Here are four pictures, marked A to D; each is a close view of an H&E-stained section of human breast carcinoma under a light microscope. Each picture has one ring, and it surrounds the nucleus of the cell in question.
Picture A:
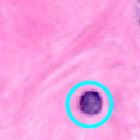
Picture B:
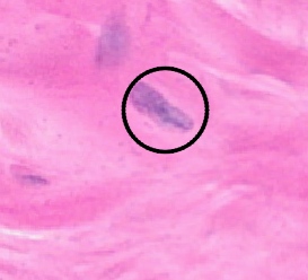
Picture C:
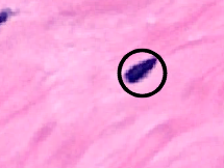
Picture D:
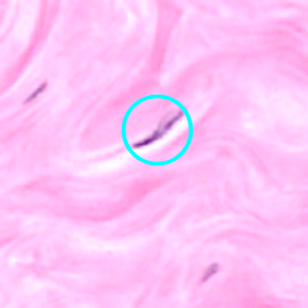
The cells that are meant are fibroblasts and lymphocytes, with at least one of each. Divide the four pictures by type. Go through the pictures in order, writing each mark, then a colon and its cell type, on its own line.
A: lymphocyte
B: fibroblast
C: lymphocyte
D: fibroblast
